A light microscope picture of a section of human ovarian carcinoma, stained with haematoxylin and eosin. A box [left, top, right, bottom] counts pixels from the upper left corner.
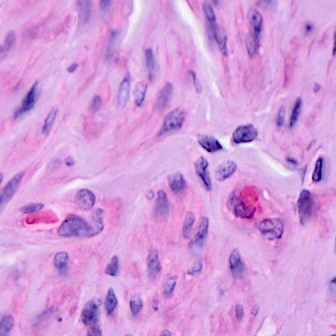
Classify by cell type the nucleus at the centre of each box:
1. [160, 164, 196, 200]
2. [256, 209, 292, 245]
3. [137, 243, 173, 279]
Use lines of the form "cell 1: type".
cell 1: smooth muscle cell
cell 2: endothelial cell
cell 3: smooth muscle cell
